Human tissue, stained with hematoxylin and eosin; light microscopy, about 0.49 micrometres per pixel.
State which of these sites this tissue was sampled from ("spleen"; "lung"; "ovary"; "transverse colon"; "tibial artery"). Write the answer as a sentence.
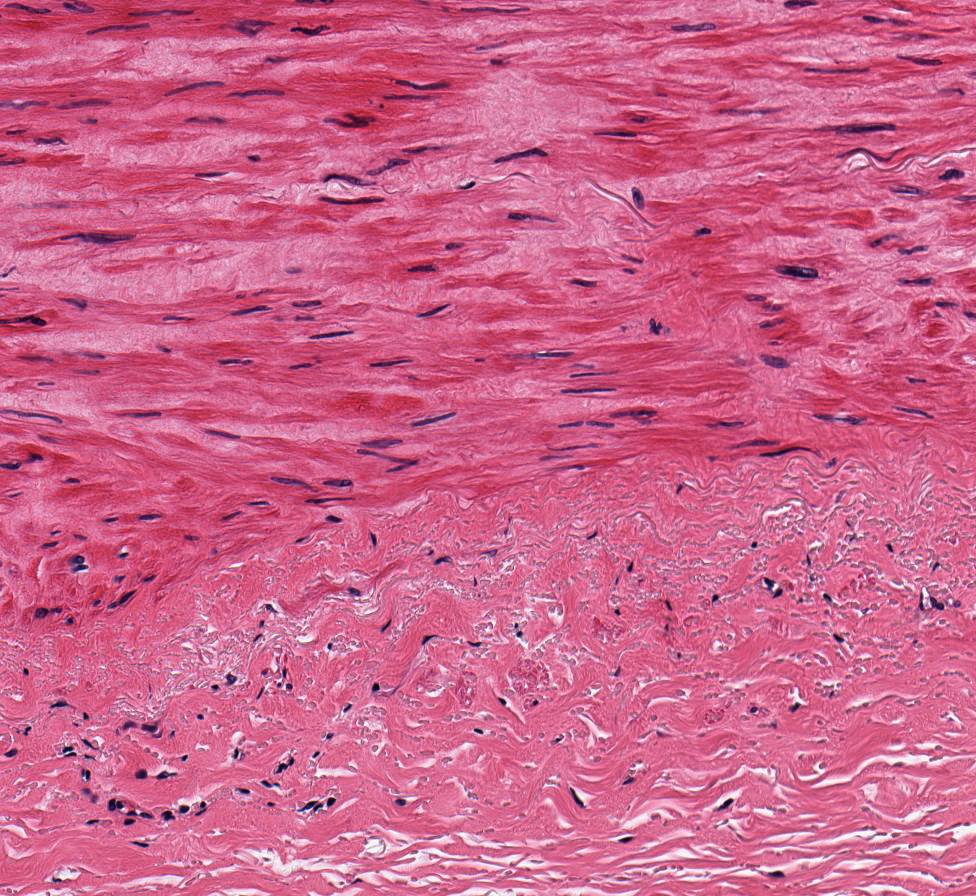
The site this tissue was sampled from is the tibial artery.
